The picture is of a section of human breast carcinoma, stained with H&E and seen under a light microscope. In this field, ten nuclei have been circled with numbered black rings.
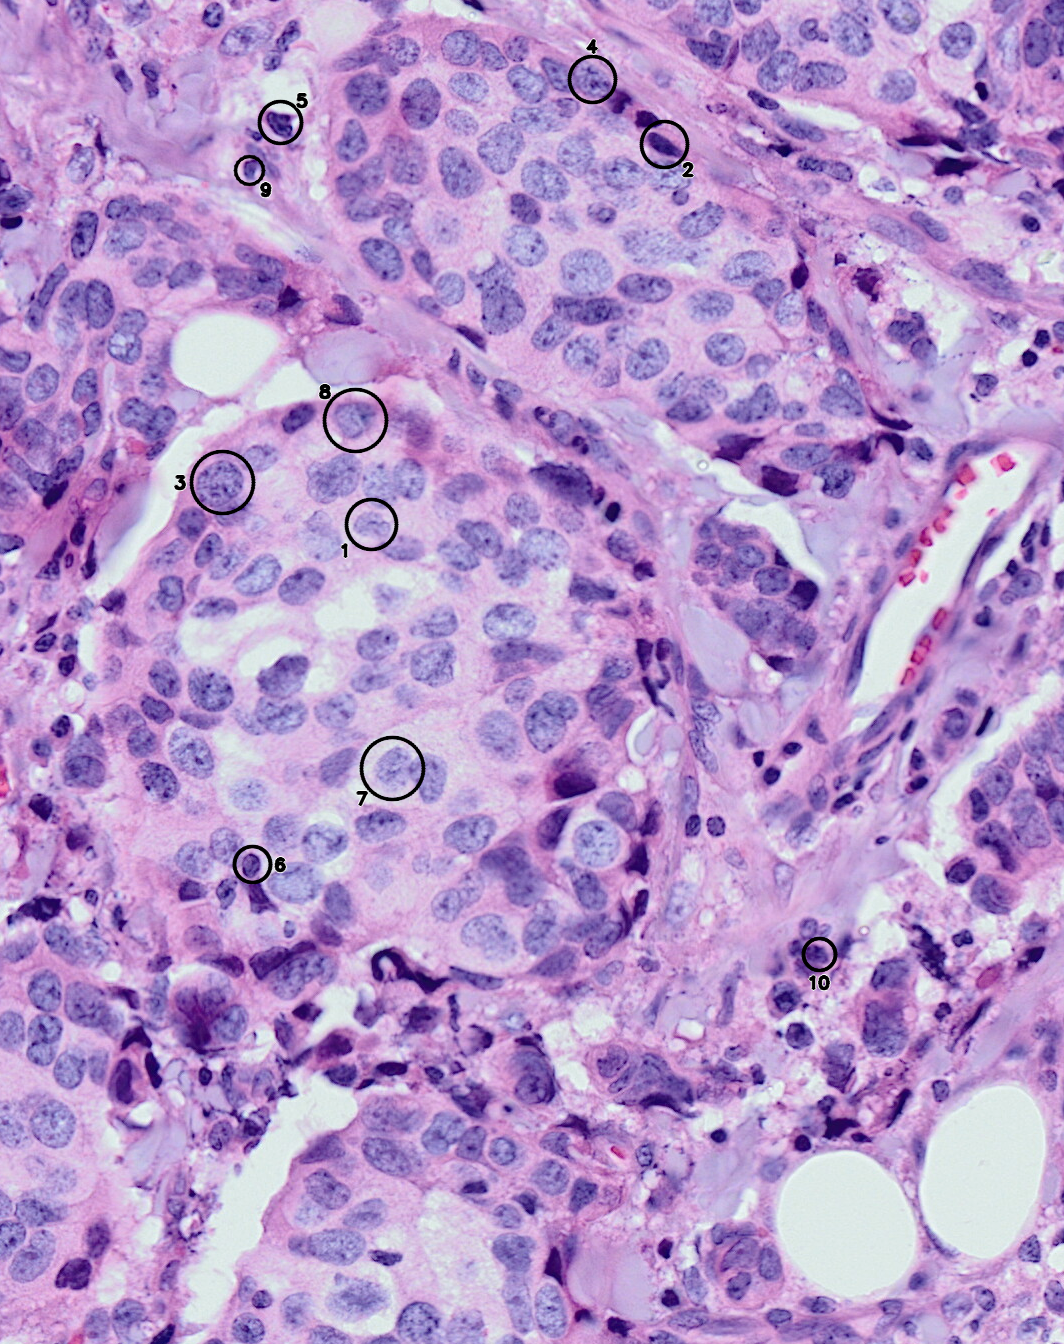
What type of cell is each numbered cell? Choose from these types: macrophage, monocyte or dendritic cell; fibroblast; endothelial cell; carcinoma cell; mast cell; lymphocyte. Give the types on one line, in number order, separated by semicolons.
carcinoma cell; carcinoma cell; carcinoma cell; carcinoma cell; lymphocyte; lymphocyte; carcinoma cell; carcinoma cell; lymphocyte; lymphocyte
